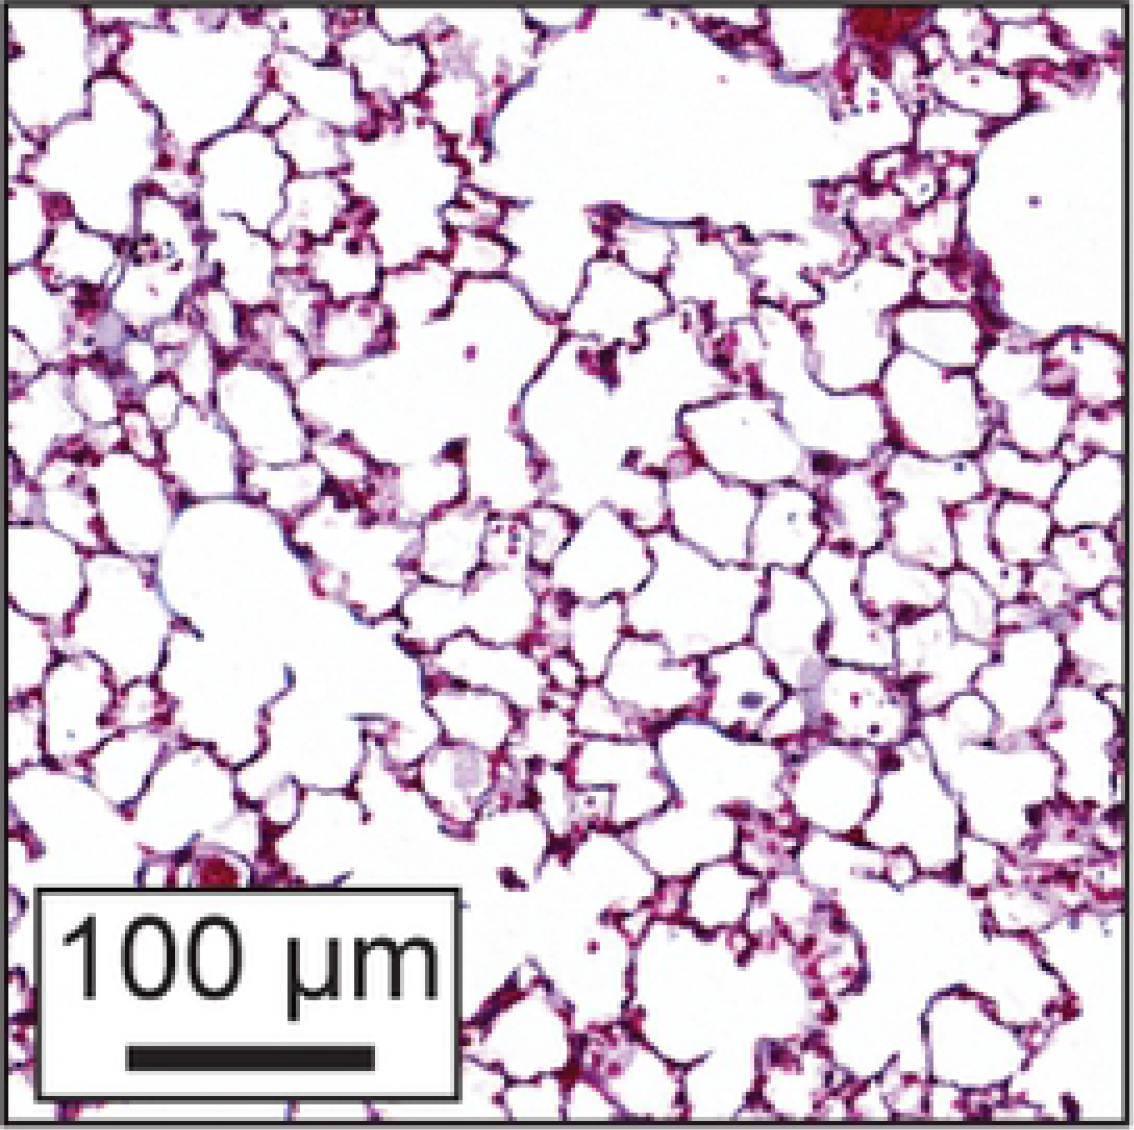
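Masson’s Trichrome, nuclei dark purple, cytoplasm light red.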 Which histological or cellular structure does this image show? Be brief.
Alveolar architecture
